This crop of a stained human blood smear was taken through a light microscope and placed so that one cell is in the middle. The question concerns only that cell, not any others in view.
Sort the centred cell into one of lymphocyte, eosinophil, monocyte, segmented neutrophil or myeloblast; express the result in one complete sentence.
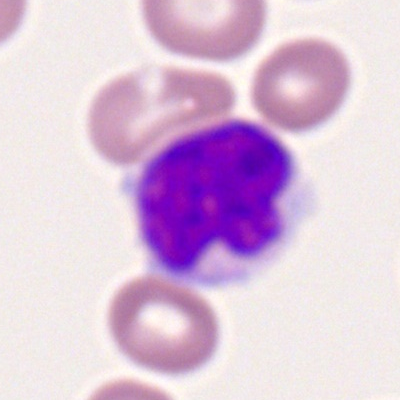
The middle cell in this particular crop is a lymphocyte.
